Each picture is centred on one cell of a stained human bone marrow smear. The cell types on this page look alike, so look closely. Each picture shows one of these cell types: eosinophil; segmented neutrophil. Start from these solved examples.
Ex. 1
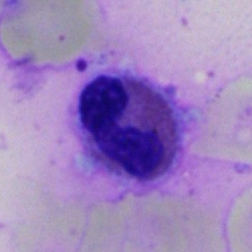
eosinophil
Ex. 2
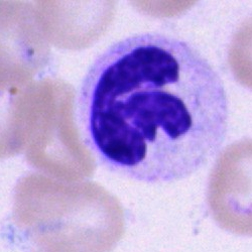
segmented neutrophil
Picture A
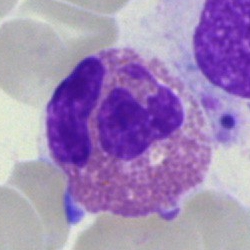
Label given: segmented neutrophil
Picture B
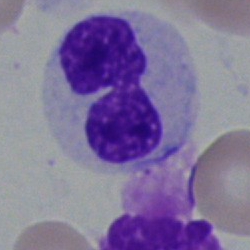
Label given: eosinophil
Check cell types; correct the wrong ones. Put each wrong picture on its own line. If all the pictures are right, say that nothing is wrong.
A is labelled segmented neutrophil; correct label: eosinophil
B is labelled eosinophil; correct label: segmented neutrophil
